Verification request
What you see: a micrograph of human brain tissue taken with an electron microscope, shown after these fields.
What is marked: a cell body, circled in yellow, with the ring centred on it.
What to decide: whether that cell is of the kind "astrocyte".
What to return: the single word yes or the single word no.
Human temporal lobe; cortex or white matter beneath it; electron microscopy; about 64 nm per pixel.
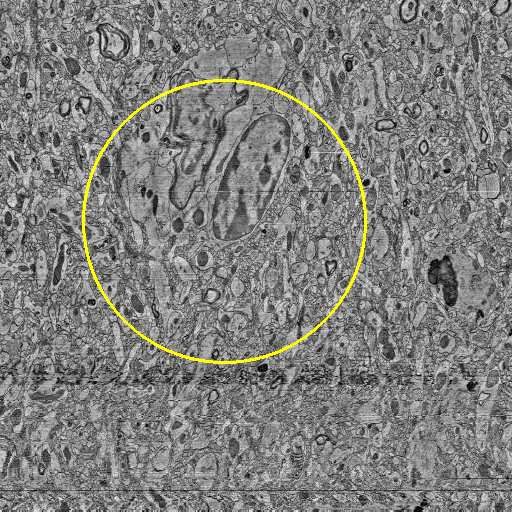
no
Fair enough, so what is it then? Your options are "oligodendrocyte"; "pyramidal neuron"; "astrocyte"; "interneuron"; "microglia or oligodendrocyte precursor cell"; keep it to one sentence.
The cell shown in the ring is a microglial cell or oligodendrocyte precursor cell.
